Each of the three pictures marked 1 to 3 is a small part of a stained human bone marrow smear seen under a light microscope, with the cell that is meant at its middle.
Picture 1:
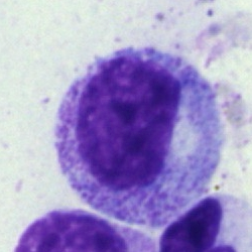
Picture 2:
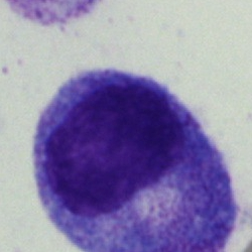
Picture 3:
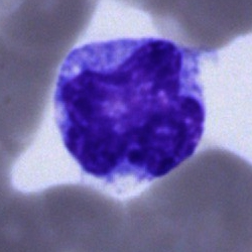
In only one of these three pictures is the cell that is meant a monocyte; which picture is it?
3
